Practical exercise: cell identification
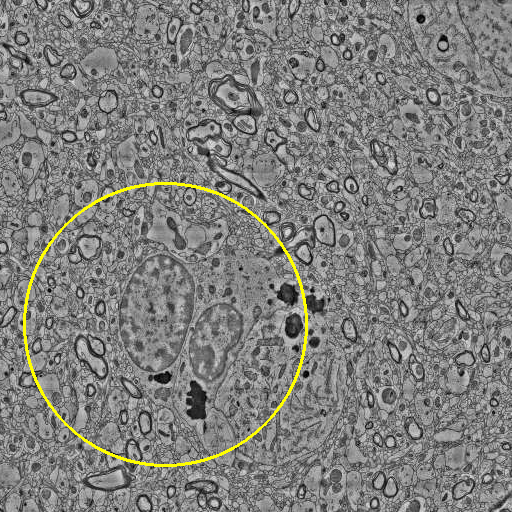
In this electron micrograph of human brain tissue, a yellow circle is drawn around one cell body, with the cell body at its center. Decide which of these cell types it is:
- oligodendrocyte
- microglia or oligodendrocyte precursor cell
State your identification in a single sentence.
The ringed cell is an oligodendrocyte.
